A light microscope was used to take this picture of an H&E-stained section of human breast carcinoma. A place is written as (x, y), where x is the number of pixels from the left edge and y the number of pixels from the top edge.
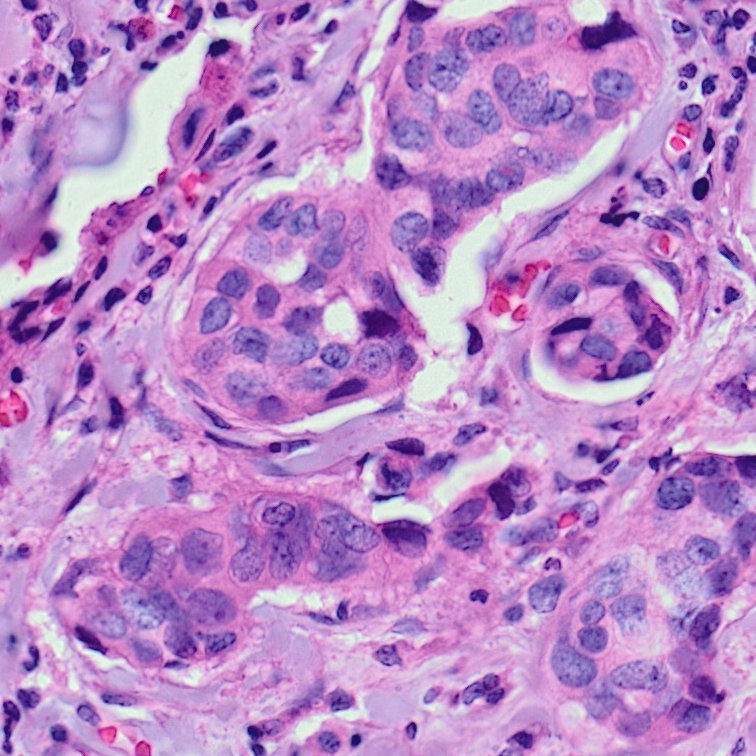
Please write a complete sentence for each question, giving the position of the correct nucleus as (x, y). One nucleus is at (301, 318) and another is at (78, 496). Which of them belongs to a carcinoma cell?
The nucleus of a carcinoma cell is the one found at (301, 318), not the other.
